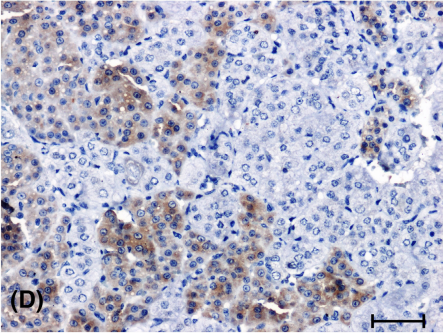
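Adrenal medulla with large polygonal cells gathered in rounded clusters. Nuclei are round and pale with a distinct nucleolus, and the cytoplasm is ample. Several clusters have brown-stained granular cytoplasm, while neighbouring clusters are pale blue. Thin connective tissue septa and small vessels run between the clusters.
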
